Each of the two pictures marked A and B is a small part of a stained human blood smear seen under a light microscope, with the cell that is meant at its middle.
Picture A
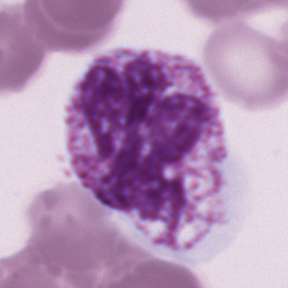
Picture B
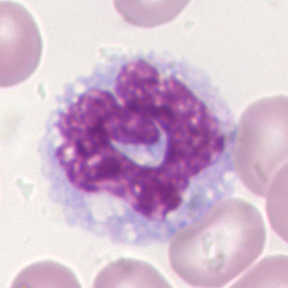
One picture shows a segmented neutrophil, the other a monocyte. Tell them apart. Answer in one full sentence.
Picture A is of a segmented neutrophil, and picture B is of a monocyte.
